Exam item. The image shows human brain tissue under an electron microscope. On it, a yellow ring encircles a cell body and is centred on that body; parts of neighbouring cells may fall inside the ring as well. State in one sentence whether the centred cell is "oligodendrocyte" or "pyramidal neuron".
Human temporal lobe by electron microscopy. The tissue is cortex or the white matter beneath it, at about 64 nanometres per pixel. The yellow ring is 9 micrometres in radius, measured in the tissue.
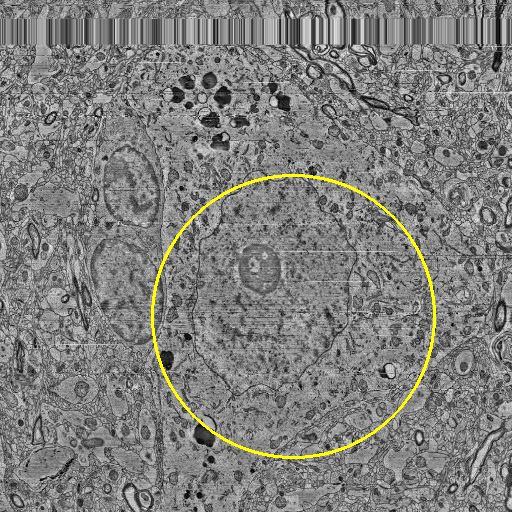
The cell body centred in the ring is a pyramidal neuron.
